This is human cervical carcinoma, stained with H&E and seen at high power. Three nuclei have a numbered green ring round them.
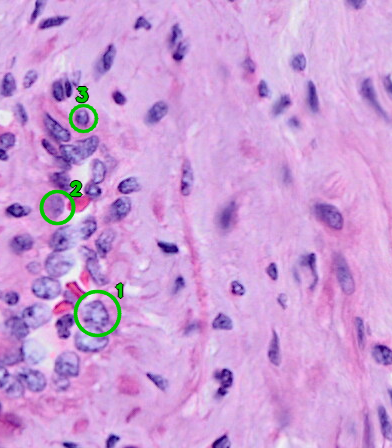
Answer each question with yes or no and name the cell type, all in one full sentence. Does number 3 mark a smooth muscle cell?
Yes, with respect to number 3, the cell is a smooth muscle cell.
